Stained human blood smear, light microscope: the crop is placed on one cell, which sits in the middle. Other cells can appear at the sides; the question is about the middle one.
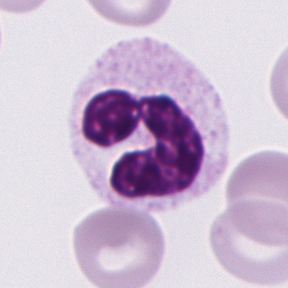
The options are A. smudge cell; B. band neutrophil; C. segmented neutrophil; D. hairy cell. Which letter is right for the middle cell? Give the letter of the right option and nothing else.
C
